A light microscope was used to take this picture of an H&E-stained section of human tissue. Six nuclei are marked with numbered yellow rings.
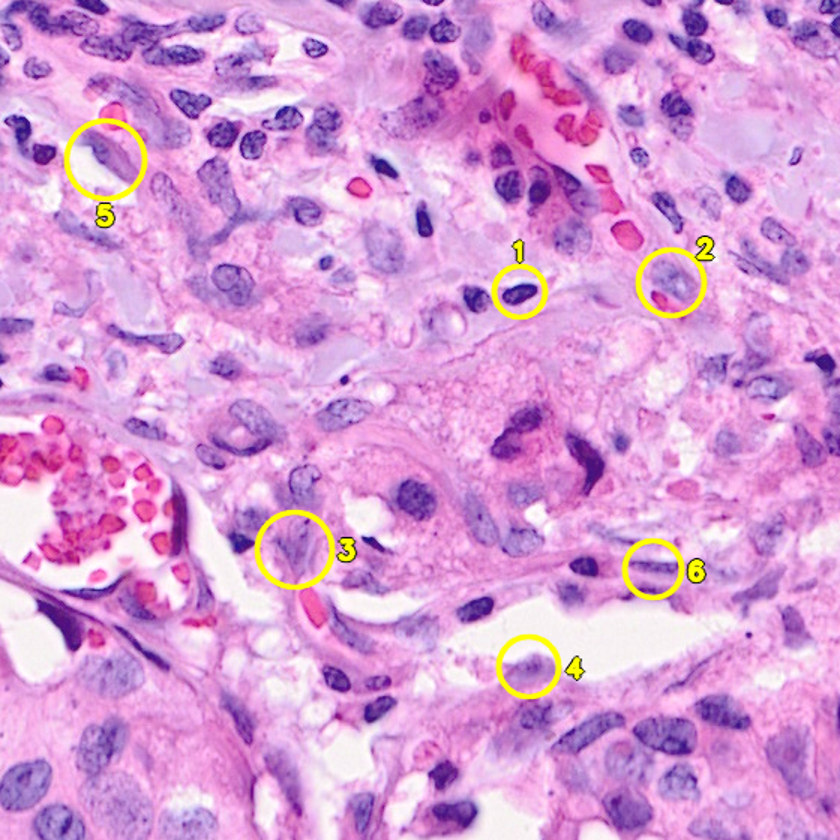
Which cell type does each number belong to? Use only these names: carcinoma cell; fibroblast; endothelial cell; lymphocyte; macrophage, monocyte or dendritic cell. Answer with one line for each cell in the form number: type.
1: lymphocyte
2: endothelial cell
3: endothelial cell
4: fibroblast
5: endothelial cell
6: fibroblast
